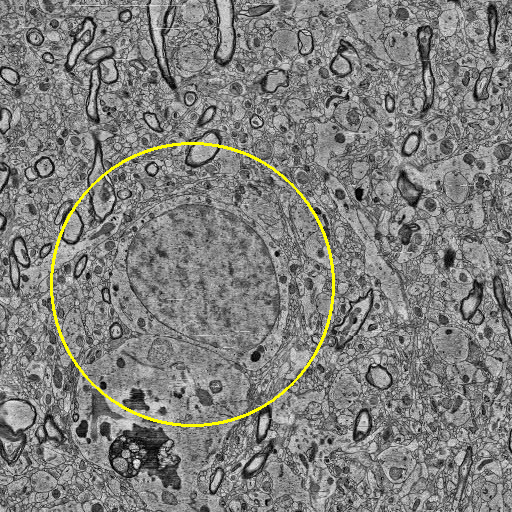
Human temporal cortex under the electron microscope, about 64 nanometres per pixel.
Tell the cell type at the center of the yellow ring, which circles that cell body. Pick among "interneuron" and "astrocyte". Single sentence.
The ring is centered on the body of an interneuron.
